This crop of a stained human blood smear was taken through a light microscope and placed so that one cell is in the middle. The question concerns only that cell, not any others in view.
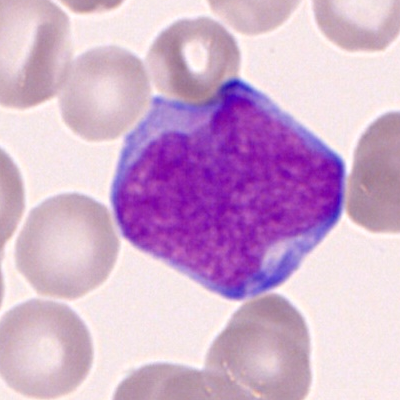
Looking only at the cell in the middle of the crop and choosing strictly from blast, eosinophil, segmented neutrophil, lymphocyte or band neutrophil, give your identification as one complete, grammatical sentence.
By classification, the middle cell of this crop is a blast.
